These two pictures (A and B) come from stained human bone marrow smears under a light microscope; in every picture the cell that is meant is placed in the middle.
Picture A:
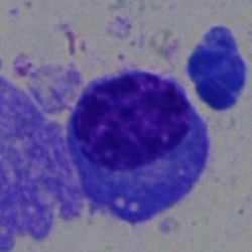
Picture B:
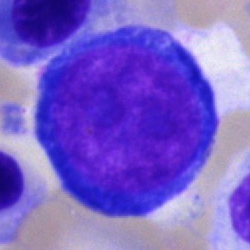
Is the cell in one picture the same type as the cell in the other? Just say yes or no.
no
